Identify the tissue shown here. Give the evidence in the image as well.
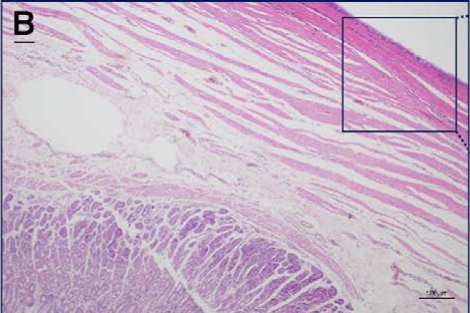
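Densely packed glands with purple-pink cells fill the lower left. Bands of pink fibrous and muscular tissue run diagonally above the glands. The answer: stomach wall.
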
